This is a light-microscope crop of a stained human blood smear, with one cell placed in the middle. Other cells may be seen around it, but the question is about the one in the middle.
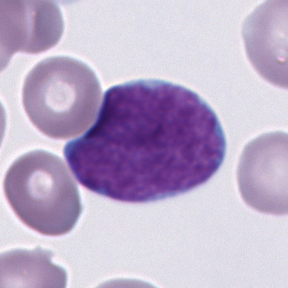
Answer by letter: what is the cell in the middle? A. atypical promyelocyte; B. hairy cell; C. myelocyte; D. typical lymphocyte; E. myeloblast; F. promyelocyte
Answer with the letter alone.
E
